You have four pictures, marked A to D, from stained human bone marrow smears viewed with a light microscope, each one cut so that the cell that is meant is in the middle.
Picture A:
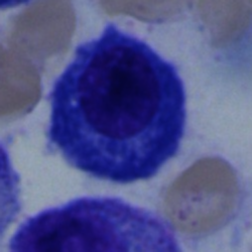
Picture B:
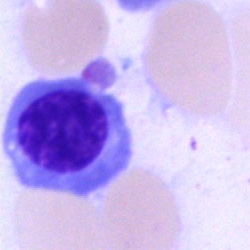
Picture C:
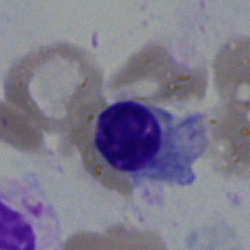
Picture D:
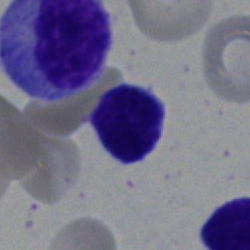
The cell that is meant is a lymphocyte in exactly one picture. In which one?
D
